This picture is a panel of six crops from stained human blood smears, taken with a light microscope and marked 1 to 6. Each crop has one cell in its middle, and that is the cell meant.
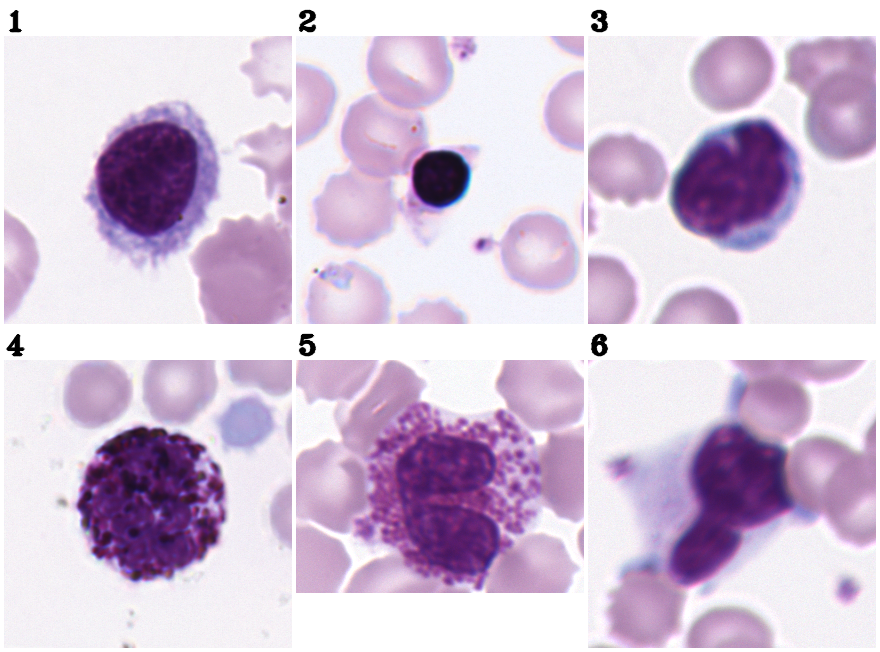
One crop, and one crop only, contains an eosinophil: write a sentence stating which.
Crop 5 is the one in the set with an eosinophil at the center.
